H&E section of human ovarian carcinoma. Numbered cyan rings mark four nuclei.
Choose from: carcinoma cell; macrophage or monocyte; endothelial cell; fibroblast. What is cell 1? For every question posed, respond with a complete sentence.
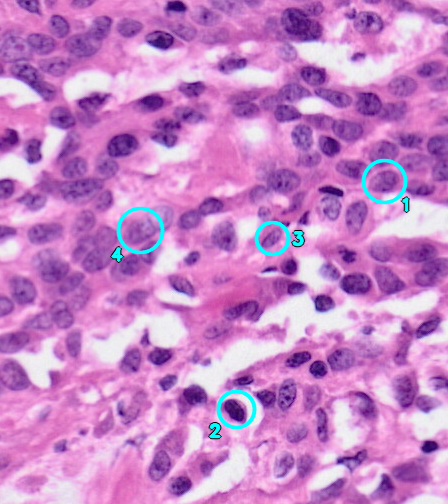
The label 1 in this section denotes a carcinoma cell.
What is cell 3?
The cell assigned the number 3 is a macrophage or monocyte.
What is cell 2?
At number 2, the marked cell is a carcinoma cell.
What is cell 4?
Numbered cell 4 is a carcinoma cell in this tissue section.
